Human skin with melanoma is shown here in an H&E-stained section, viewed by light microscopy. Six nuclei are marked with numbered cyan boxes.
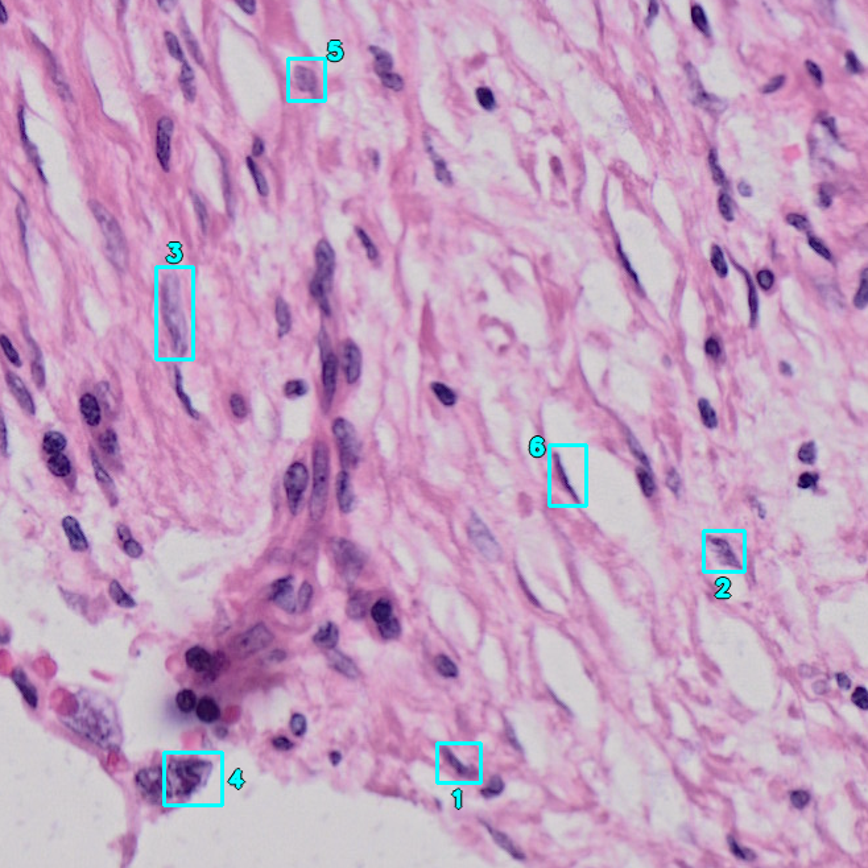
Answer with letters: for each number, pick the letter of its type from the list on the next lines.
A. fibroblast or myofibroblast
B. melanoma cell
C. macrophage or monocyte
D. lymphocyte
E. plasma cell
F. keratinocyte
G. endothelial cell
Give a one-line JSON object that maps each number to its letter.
{"1": "A", "2": "A", "3": "A", "4": "B", "5": "C", "6": "A"}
